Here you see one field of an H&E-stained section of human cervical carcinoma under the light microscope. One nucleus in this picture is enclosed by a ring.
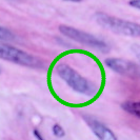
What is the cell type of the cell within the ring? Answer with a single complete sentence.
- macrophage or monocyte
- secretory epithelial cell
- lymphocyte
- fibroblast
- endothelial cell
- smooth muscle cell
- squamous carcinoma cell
It is as a smooth muscle cell that the cell within the ring is classified.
